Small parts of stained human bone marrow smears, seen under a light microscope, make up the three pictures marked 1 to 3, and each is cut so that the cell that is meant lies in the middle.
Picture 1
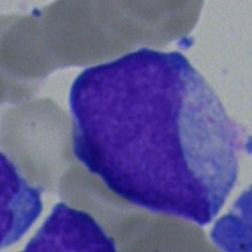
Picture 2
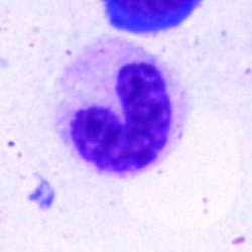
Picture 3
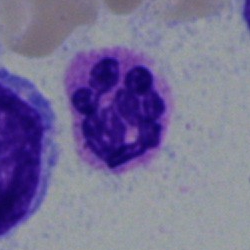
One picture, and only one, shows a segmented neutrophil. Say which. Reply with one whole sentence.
The picture with the segmented neutrophil is 3.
